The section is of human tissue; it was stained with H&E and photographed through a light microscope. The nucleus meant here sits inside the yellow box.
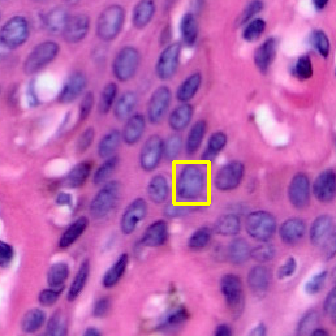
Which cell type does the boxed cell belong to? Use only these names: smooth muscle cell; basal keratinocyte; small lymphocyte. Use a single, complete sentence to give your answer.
Considered by cell type, the boxed cell is a basal keratinocyte.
